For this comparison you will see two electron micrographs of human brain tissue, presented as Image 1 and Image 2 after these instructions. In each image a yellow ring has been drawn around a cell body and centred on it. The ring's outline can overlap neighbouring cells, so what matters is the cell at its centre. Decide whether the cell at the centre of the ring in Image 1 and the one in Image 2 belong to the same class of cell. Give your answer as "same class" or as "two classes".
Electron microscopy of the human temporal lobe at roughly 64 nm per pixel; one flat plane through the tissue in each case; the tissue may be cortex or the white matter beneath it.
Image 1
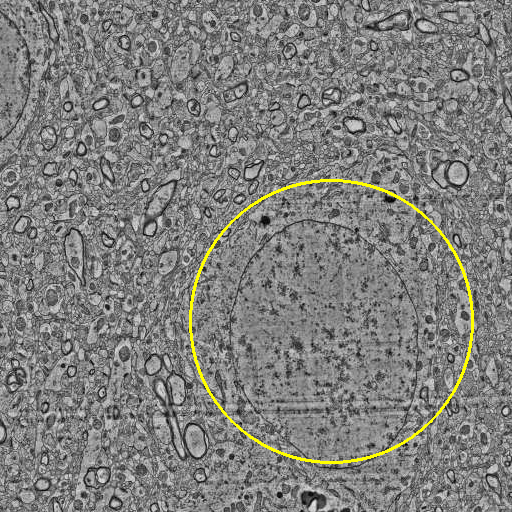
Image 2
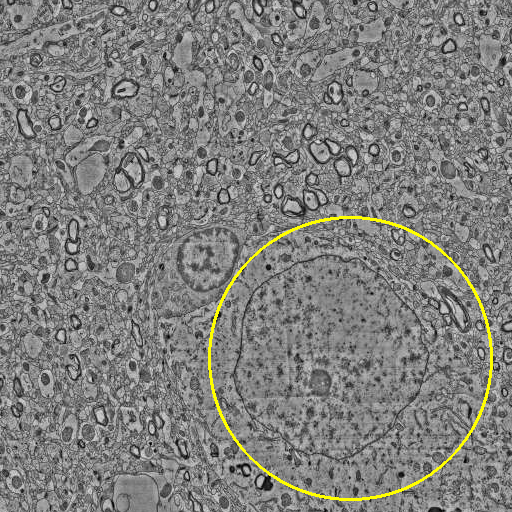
same class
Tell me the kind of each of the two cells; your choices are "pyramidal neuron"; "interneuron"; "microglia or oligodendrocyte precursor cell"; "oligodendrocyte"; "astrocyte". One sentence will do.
Each of the ringed cells, first and second, is a pyramidal neuron.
